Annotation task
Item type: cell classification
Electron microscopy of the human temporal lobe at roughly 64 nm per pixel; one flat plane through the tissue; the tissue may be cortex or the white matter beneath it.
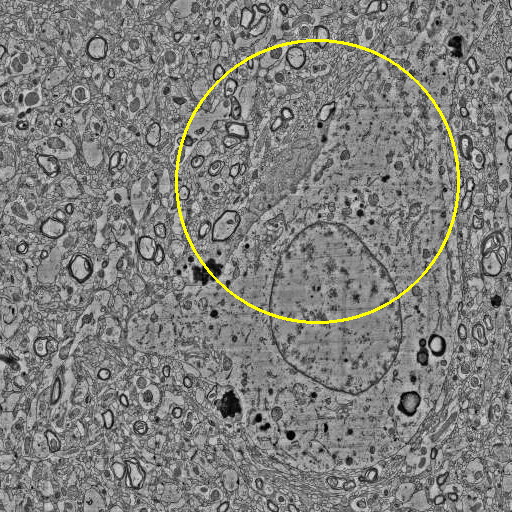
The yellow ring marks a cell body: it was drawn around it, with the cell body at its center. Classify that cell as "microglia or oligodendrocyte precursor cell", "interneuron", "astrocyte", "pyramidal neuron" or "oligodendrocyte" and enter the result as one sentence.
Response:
The ring's center falls on an oligodendrocyte.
